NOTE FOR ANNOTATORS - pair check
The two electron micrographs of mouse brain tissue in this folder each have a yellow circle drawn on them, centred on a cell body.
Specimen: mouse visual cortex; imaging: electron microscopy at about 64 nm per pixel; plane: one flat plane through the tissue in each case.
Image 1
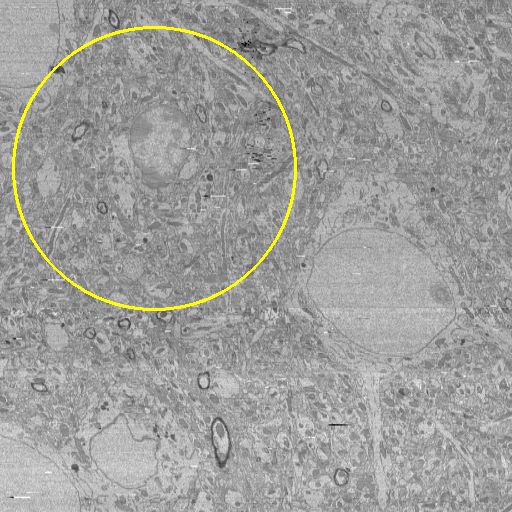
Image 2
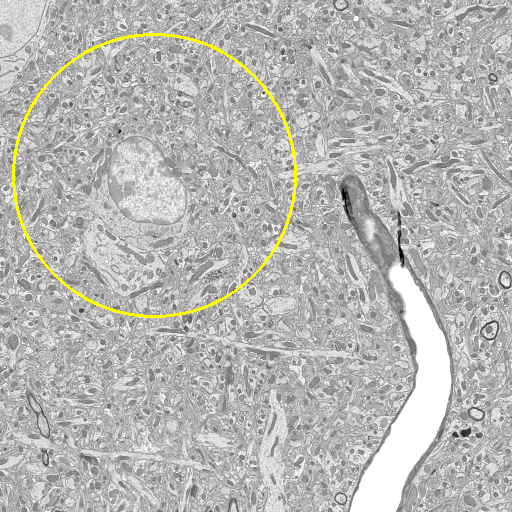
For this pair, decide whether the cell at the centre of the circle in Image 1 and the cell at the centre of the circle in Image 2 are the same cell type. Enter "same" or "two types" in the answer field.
same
